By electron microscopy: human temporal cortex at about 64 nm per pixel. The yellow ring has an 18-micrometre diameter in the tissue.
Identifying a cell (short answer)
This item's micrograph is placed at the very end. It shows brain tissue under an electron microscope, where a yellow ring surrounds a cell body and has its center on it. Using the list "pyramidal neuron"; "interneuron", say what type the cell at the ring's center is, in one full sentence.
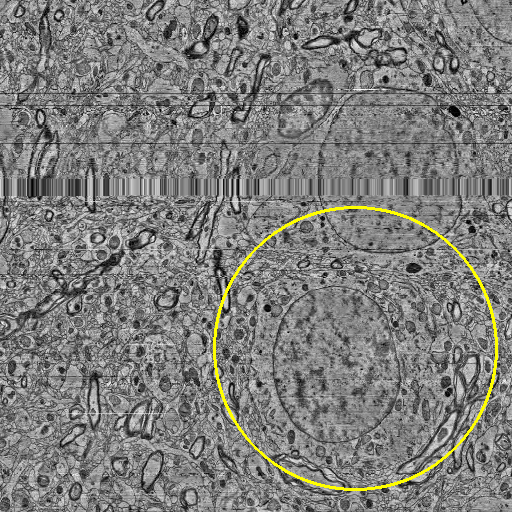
This picture shows an interneuron at the center of the yellow ring drawn on it.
